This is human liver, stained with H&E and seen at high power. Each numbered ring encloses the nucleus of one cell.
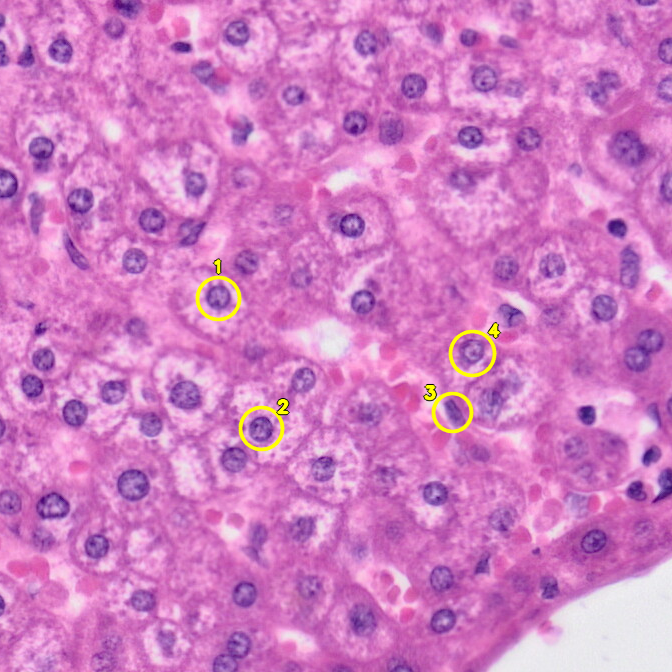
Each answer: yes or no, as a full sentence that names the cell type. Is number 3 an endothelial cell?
Yes, the cell identified as number 3 is an endothelial cell.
